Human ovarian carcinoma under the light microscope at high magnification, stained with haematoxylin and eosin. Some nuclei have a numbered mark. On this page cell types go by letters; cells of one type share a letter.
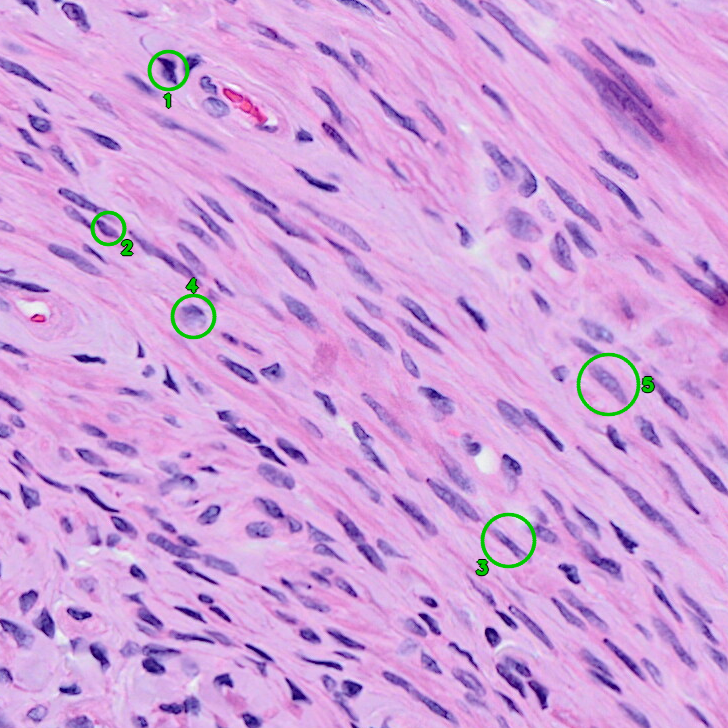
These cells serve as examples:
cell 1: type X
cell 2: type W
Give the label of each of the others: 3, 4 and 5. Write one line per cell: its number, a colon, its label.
3: type W
4: type X
5: type W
